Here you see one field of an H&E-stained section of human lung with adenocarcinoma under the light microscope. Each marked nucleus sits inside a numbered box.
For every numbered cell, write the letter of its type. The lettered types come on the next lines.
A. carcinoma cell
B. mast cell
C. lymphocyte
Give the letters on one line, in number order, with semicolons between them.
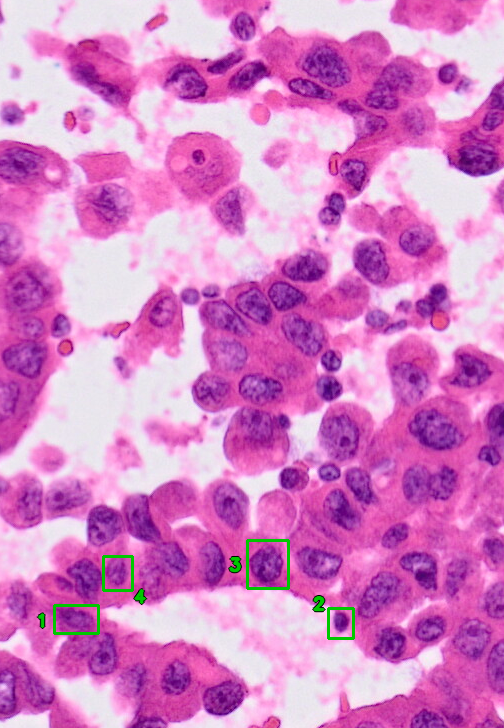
A; C; A; A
